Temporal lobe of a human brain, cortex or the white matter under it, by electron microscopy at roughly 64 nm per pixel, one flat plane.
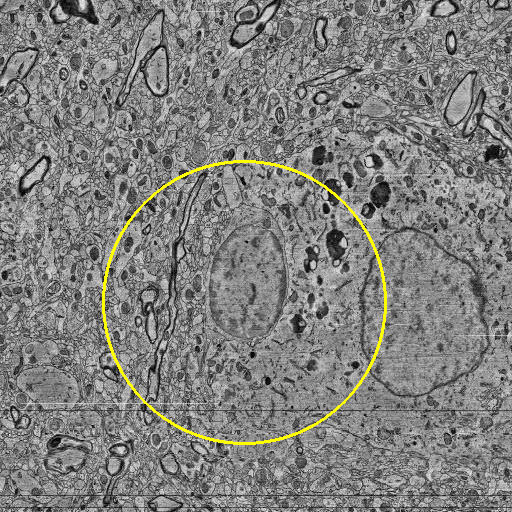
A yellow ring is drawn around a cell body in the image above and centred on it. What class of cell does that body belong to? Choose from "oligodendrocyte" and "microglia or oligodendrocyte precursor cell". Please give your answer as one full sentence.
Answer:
The yellow ring above is centred on the cell body of an oligodendrocyte.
